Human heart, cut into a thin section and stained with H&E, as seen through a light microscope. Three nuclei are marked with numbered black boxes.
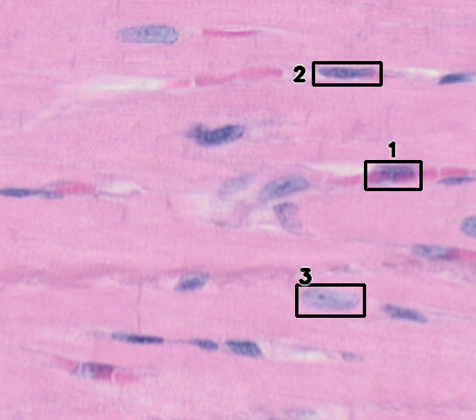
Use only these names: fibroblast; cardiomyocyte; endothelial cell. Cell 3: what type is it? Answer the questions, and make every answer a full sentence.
Cell 3 in the field of view is a cardiomyocyte.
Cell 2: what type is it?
The cell whose nucleus carries the number 2 is an endothelial cell.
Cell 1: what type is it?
The marked cell with the number 1 is recognised as an endothelial cell.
